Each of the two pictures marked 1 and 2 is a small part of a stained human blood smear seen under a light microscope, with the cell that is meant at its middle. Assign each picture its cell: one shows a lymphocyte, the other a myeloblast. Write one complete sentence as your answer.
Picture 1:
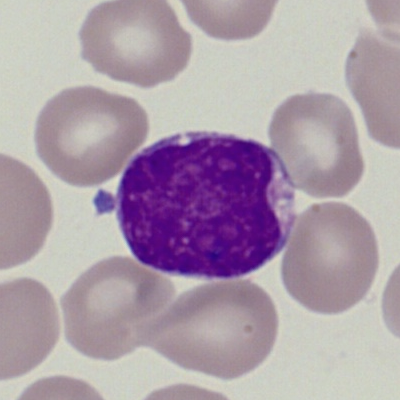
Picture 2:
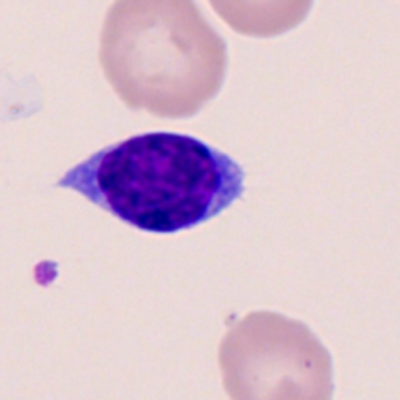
The cell in picture 1 is a myeloblast, and the one in picture 2 is a lymphocyte.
